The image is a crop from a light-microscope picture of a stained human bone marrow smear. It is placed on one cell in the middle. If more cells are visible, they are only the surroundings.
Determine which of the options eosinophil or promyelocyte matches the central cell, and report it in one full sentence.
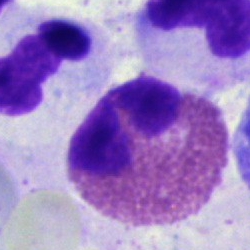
The crop centres on a single cell, and that cell is an eosinophil.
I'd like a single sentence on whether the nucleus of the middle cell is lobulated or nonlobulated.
The nucleus is divided into two or more distinct lobes.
